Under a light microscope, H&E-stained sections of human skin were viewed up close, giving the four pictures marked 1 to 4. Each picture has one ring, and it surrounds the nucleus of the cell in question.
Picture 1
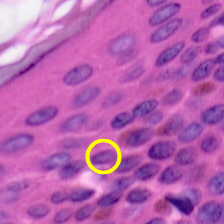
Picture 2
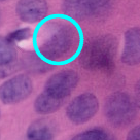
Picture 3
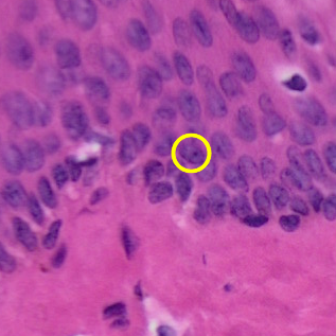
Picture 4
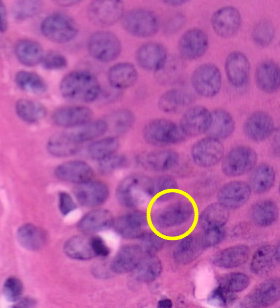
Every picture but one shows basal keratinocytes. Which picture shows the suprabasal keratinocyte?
2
